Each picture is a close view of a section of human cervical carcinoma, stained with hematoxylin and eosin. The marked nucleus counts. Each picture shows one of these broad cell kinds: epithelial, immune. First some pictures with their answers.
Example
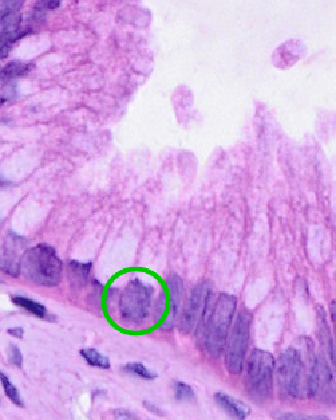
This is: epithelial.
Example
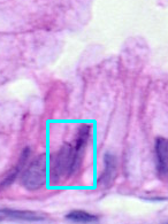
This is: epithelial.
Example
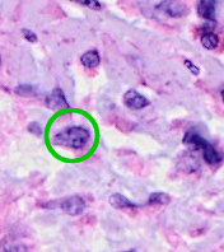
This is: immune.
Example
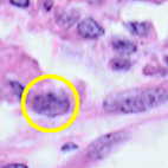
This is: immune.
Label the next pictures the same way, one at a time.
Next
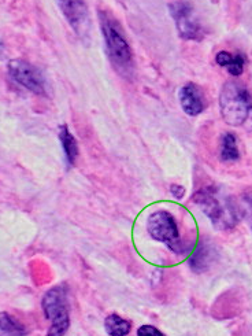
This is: immune.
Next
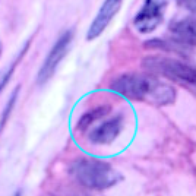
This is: epithelial.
